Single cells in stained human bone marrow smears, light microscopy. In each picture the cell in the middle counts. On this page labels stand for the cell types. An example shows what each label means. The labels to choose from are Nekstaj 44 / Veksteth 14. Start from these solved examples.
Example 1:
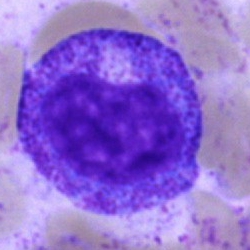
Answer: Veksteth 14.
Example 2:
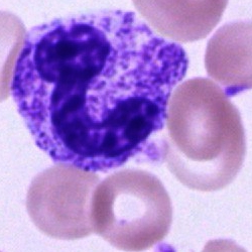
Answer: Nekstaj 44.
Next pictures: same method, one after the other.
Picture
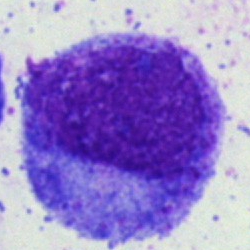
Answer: Veksteth 14.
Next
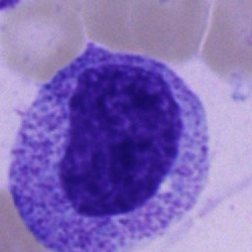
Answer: Veksteth 14.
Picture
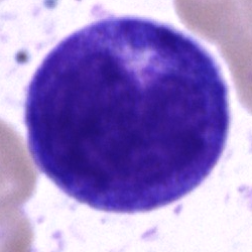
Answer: Veksteth 14.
